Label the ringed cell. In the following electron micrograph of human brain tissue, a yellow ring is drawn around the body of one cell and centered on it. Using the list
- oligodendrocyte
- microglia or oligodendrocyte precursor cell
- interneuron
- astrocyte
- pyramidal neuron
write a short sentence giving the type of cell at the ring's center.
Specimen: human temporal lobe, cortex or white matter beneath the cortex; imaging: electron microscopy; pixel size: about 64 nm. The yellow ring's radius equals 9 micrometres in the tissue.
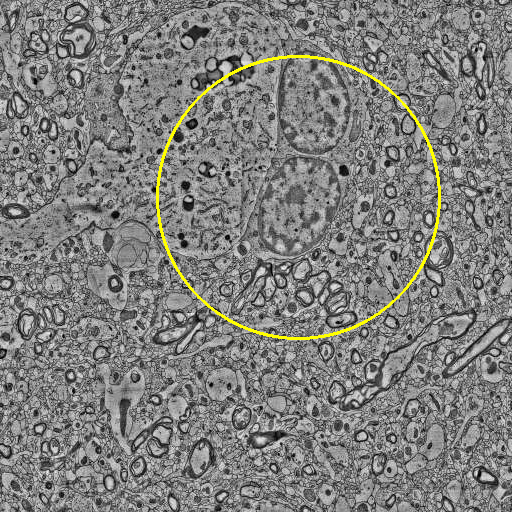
The cell body at the ring's center is that of an oligodendrocyte.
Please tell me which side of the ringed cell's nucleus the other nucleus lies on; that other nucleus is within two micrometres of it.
That nucleus lies above it.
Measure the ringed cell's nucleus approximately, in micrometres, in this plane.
In this plane, about 7 micrometres in length and 5 in width.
